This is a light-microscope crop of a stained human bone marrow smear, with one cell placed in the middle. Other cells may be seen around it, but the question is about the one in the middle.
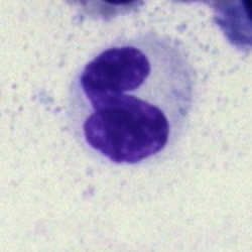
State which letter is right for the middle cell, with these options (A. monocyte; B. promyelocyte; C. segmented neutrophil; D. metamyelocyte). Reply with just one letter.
C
